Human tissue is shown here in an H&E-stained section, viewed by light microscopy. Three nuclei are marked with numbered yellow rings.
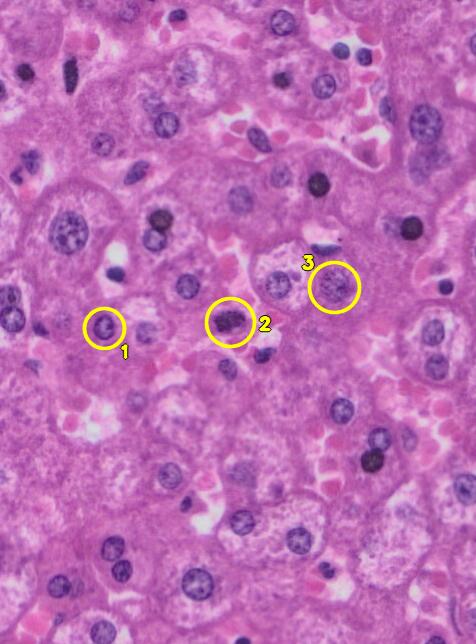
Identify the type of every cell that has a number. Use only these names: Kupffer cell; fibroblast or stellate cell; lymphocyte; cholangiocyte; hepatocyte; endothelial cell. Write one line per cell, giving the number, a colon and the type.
1: hepatocyte
2: Kupffer cell
3: hepatocyte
